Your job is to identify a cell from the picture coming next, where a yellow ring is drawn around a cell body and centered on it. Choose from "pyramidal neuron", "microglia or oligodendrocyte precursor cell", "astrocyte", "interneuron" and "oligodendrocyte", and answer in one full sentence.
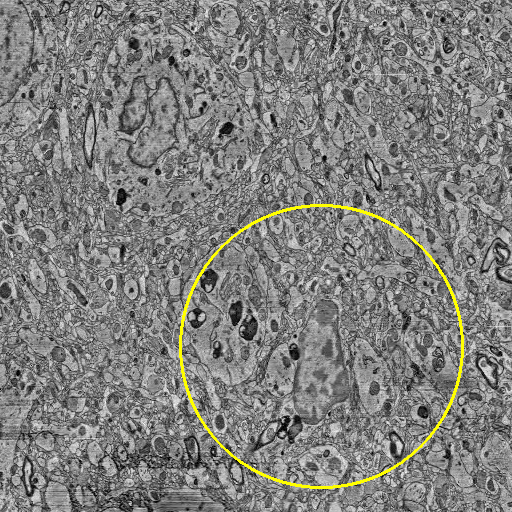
Centered in the yellow ring of the picture is the body of a microglial cell or oligodendrocyte precursor cell.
